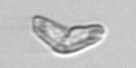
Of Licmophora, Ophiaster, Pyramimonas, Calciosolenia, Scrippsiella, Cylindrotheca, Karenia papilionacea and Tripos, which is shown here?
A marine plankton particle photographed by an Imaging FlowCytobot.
Karenia papilionacea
